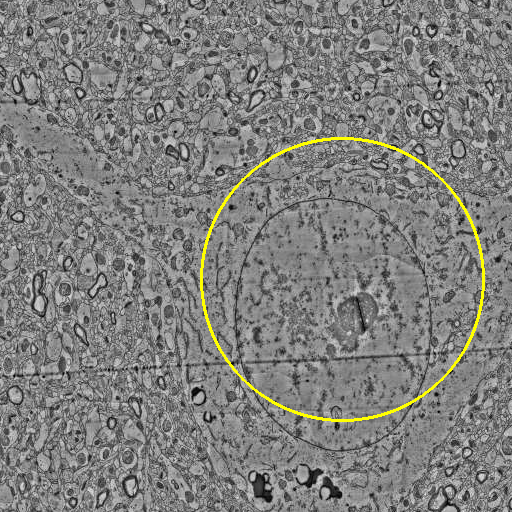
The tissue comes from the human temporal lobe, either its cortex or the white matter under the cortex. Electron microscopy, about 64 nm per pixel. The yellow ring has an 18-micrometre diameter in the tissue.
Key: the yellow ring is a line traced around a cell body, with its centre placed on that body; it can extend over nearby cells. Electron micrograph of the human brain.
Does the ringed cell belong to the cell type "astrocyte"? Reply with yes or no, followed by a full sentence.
No, the cell at the centre of the yellow ring in the picture is of another type.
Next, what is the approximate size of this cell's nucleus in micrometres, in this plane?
The nucleus works out at approximately 16 by 14 micrometres in this plane.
